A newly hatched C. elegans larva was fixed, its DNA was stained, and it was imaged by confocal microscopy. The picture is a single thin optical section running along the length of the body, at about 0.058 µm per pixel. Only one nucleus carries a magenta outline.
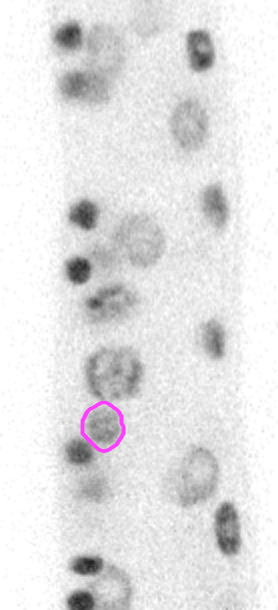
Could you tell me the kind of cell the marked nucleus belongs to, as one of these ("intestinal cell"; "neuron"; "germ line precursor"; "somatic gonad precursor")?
somatic gonad precursor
